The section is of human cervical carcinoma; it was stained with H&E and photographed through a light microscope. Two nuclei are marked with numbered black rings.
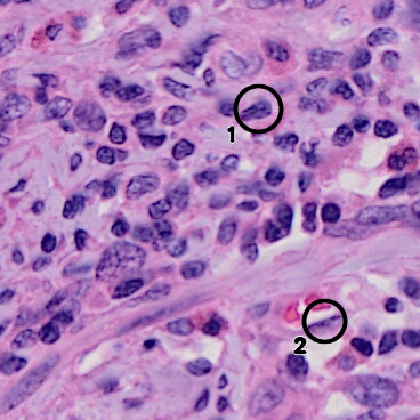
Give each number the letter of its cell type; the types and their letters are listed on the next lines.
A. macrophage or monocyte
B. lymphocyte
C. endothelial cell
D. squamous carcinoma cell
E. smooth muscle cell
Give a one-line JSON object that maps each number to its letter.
{"1": "B", "2": "C"}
